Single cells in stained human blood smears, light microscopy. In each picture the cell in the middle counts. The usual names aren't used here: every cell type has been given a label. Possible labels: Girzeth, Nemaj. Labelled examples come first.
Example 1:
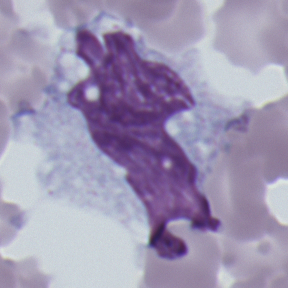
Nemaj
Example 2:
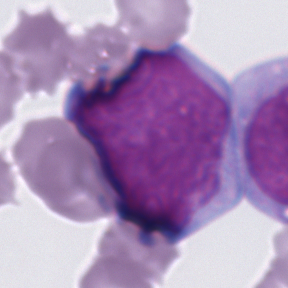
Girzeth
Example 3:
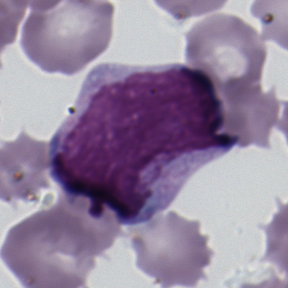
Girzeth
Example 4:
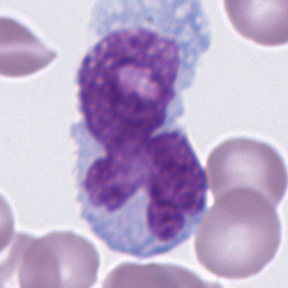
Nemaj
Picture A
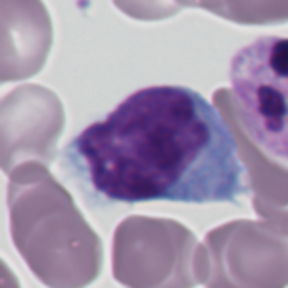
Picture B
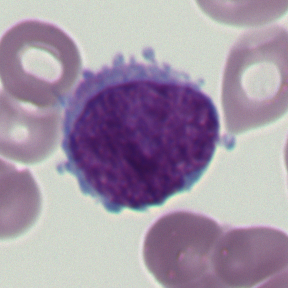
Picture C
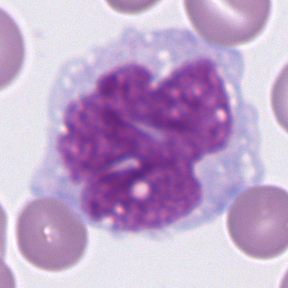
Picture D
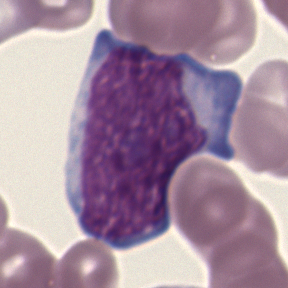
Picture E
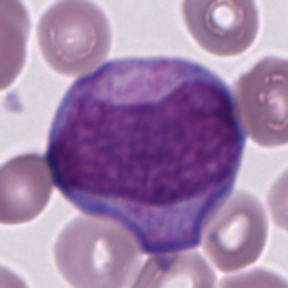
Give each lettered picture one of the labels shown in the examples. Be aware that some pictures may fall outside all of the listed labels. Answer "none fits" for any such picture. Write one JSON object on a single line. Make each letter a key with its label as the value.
{"A": "Nemaj", "B": "none fits", "C": "Nemaj", "D": "Girzeth", "E": "none fits"}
